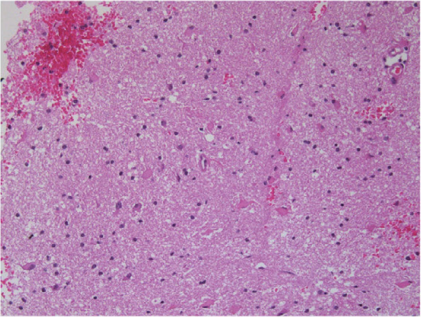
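A pale pink, finely fibrillary and slightly vacuolated background with only scattered small, round, dark purple nuclei spaced widely apart. A few small vessels appear, and at the upper left a cluster of red blood cells marks a small hemorrhage. There are no crowded cells or thick-walled vessel tufts. This is brain tissue of low cellularity, its neuropil looking largely like normal brain, with a loose, somewhat spongy appearance.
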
